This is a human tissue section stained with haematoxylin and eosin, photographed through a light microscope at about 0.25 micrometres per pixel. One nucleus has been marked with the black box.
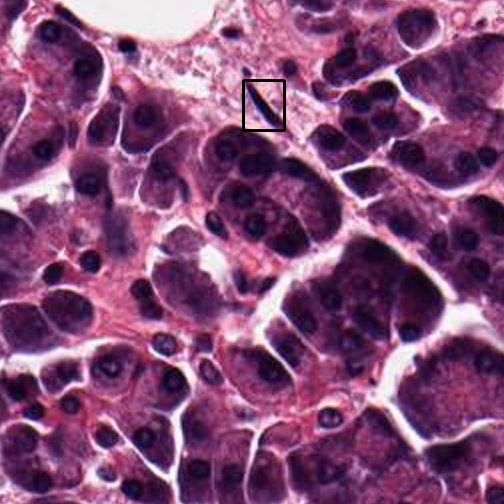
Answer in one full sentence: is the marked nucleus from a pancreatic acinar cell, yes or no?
No, rather than to a pancreatic acinar cell, the marked nucleus belongs to a supporting cell.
